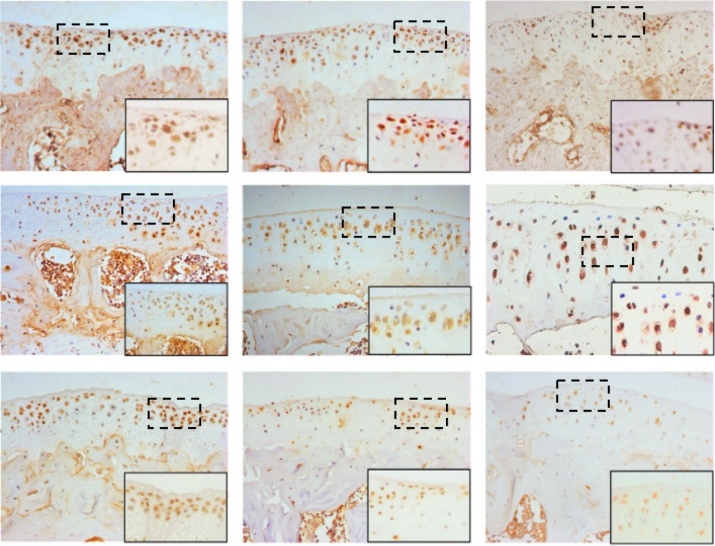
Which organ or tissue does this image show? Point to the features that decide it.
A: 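Cartilage. Rounded cells lie singly or in small groups within a pale, homogeneous matrix. A smooth articular surface lines the top of each section. Bone with marrow spaces lies beneath the cell-bearing layer.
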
